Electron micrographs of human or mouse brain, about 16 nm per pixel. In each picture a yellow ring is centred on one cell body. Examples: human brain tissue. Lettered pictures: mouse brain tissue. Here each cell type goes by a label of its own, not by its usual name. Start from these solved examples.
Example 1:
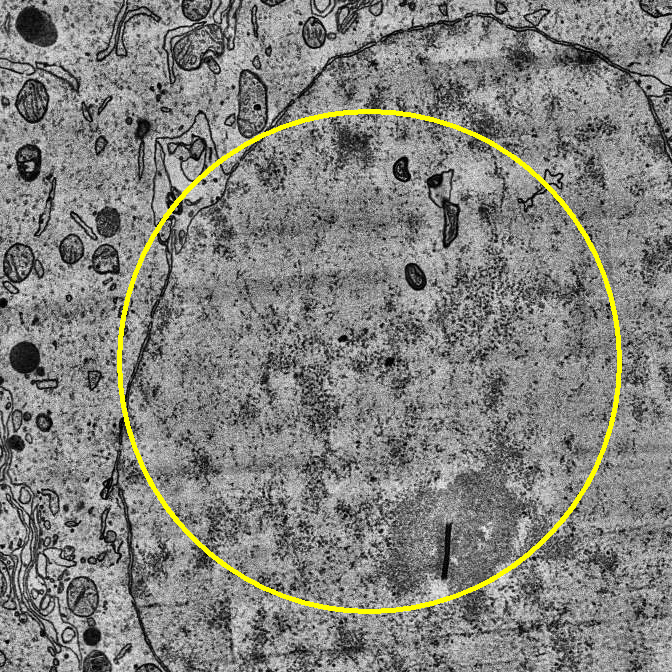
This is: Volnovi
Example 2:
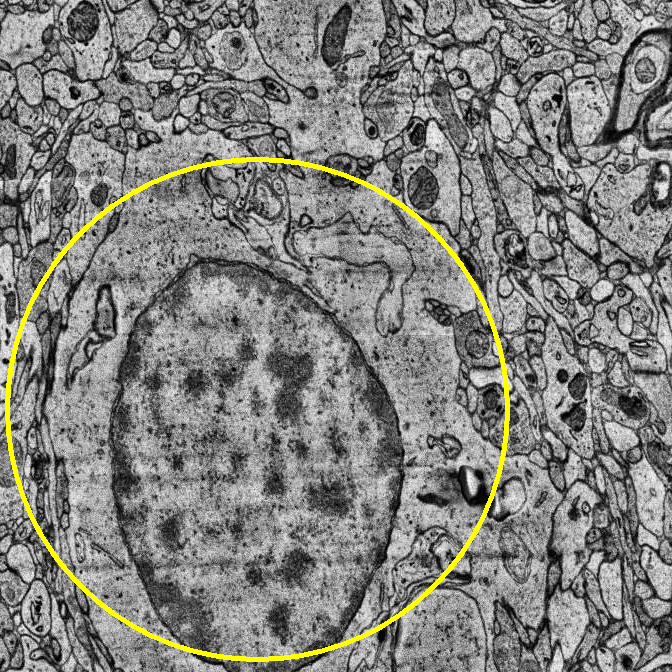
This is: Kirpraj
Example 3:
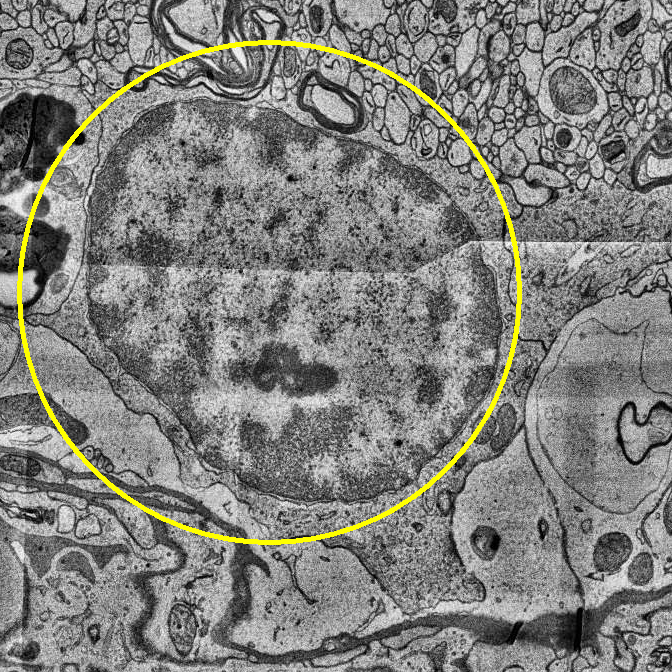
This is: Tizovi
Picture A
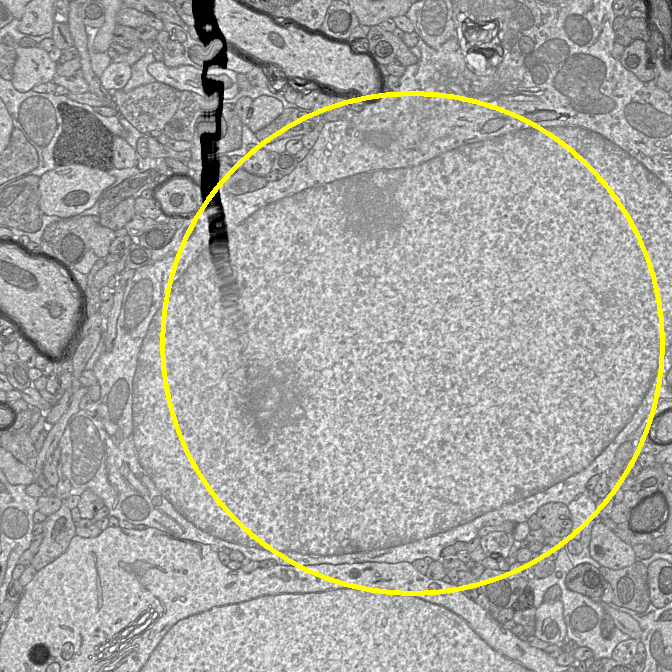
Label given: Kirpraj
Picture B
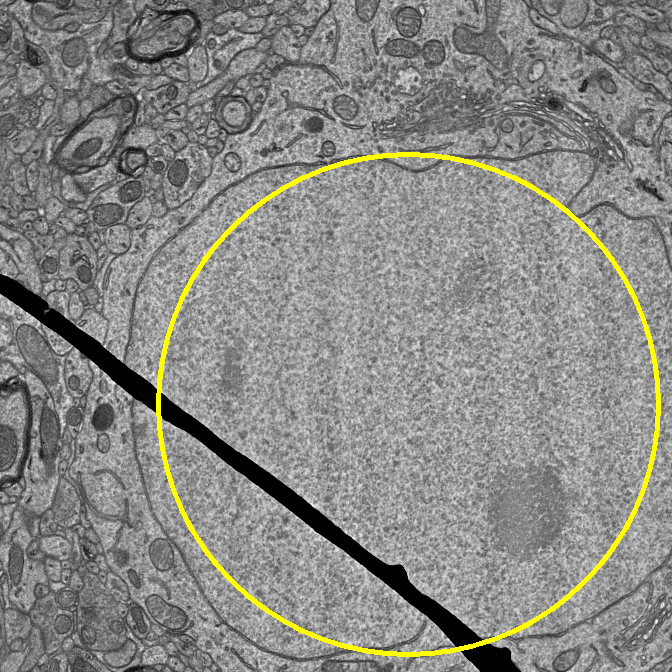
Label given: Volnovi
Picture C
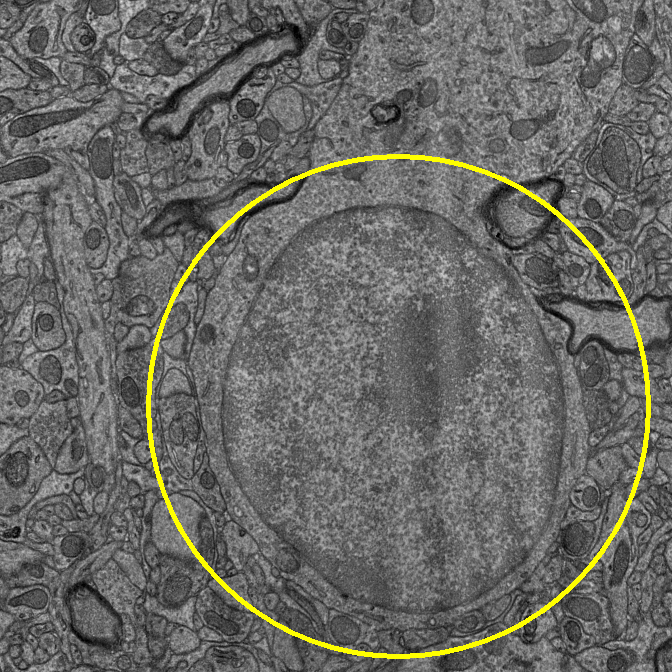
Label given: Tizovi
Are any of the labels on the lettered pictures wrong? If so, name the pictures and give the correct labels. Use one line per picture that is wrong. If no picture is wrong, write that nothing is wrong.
Nothing to fix; every label fits.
